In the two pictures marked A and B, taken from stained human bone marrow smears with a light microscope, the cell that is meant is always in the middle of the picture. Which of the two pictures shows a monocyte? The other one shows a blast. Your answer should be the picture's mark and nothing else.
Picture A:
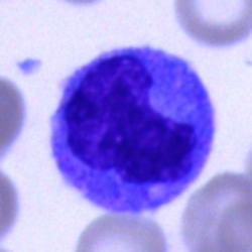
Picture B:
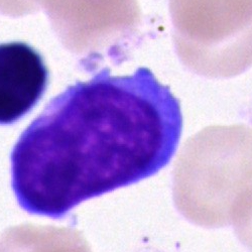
A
